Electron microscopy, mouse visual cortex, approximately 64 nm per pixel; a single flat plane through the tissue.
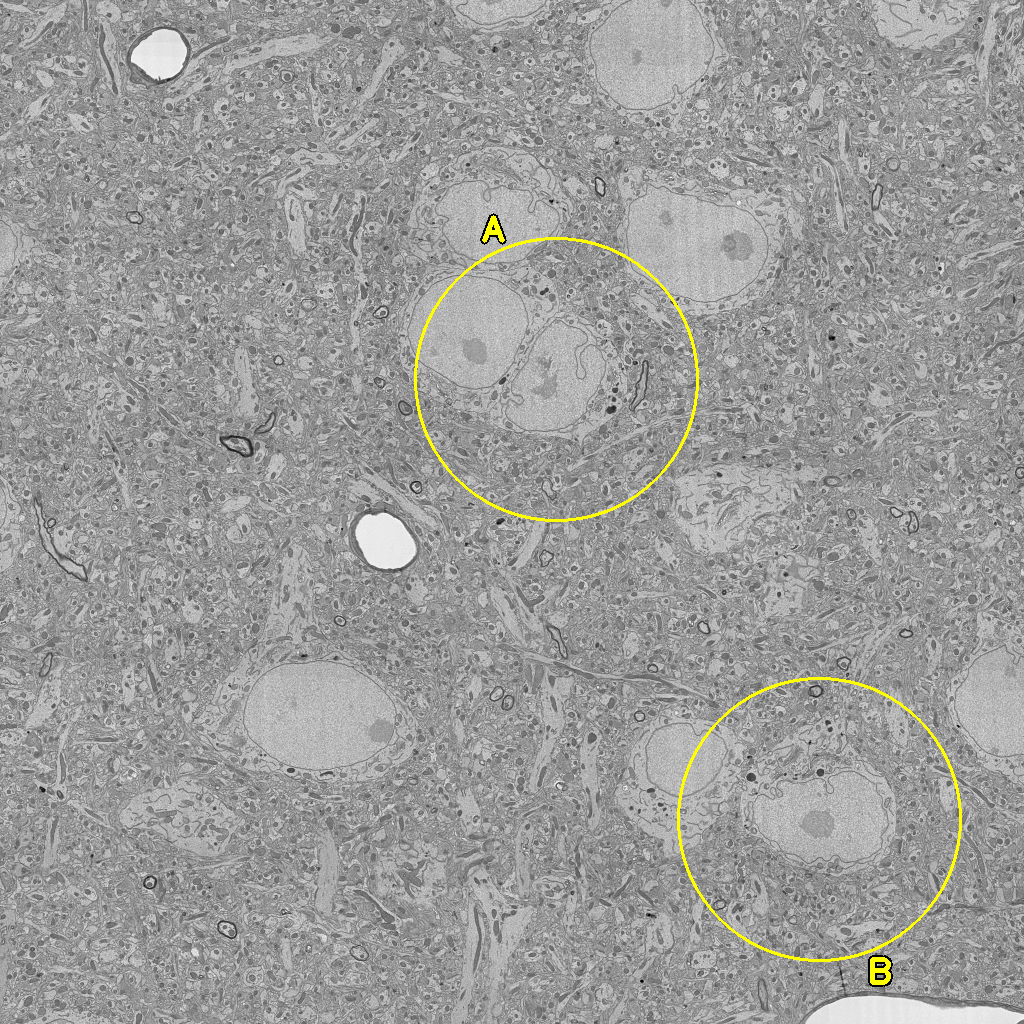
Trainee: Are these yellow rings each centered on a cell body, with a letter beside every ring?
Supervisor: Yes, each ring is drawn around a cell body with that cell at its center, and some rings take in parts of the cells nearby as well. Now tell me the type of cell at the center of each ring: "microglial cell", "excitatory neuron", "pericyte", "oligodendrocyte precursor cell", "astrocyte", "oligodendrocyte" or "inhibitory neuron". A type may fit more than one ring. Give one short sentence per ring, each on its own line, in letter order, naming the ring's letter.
Ring A has an inhibitory neuron at its center.
Ring B has an inhibitory neuron at its center.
